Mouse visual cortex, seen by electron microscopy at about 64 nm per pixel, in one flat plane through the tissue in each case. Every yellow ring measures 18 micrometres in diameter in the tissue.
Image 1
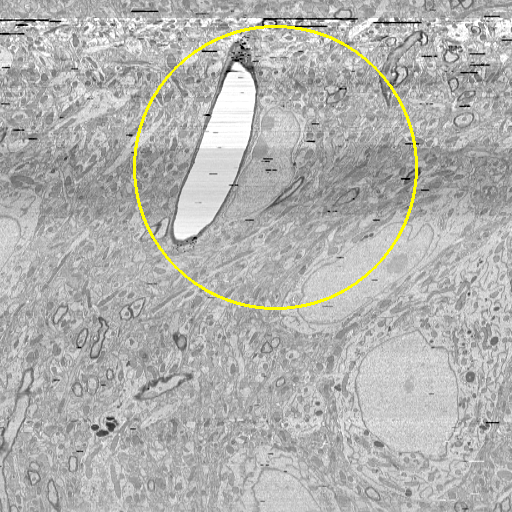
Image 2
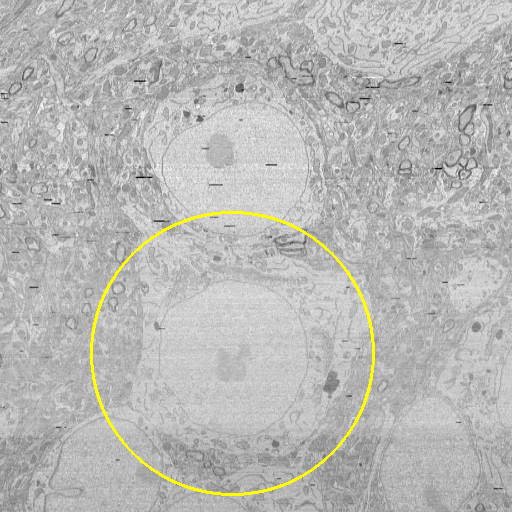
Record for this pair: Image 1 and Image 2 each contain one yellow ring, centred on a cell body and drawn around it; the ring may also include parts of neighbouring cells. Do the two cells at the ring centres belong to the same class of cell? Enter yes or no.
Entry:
no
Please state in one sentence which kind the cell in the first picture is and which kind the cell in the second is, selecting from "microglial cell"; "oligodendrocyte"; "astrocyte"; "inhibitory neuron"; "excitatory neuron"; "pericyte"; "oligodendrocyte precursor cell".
The first ringed cell is an oligodendrocyte precursor cell, the second ringed cell an excitatory neuron.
